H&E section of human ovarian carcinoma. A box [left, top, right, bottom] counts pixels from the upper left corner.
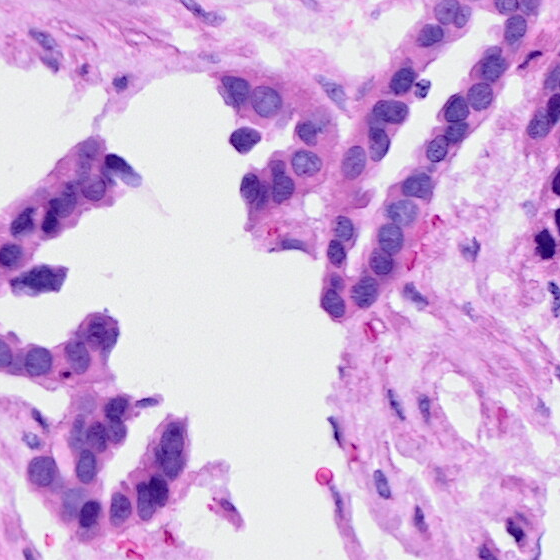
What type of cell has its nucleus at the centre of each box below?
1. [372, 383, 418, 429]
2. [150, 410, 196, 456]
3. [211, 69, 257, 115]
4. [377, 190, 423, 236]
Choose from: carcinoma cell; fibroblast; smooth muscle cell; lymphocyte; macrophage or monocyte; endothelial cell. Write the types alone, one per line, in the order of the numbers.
fibroblast
carcinoma cell
carcinoma cell
carcinoma cell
